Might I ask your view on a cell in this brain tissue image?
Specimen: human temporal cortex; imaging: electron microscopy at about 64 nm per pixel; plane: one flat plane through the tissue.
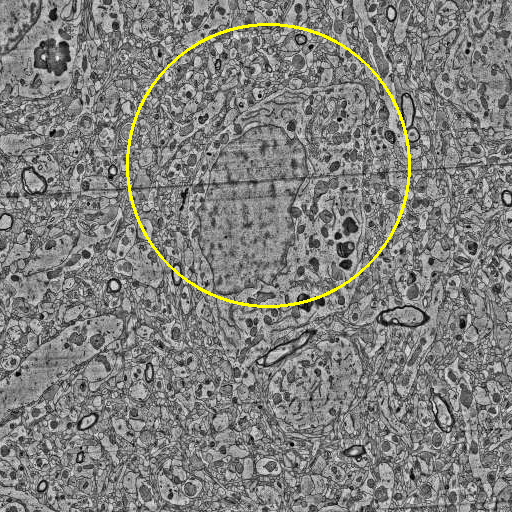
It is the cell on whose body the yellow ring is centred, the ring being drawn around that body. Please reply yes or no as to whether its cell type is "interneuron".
yes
